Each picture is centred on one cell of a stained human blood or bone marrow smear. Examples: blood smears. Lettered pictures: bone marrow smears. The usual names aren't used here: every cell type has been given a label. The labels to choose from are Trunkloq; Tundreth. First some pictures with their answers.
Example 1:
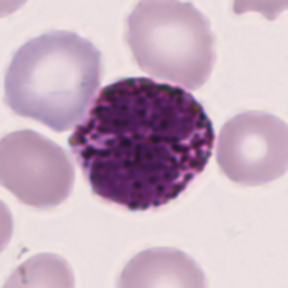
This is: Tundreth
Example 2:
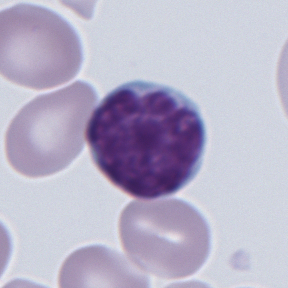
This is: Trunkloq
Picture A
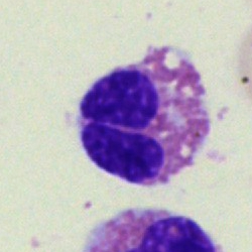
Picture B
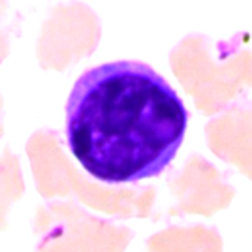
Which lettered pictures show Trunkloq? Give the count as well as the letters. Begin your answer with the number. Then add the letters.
1: B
